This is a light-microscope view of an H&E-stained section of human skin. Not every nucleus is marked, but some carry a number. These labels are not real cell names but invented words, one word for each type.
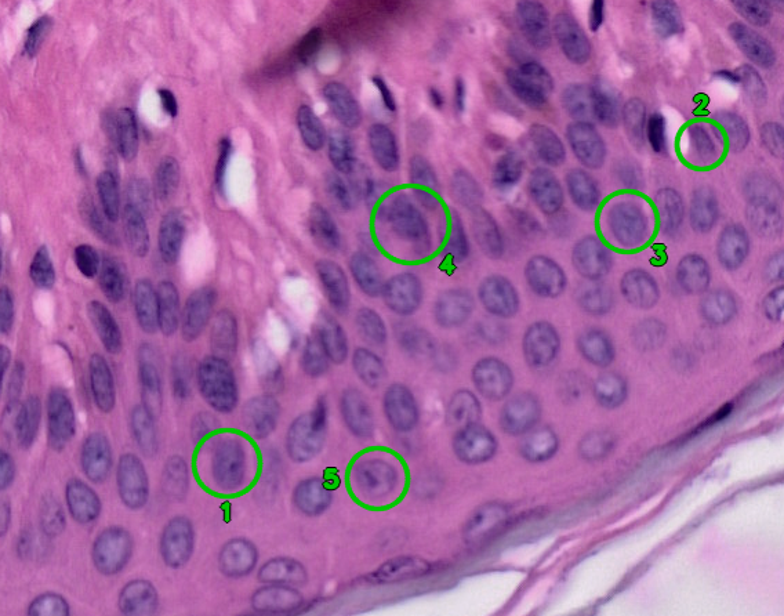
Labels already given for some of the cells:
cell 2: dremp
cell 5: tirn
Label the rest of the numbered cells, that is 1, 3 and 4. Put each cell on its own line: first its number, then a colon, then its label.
1: tirn
3: tirn
4: dremp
